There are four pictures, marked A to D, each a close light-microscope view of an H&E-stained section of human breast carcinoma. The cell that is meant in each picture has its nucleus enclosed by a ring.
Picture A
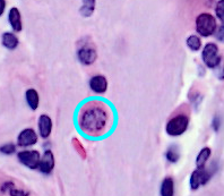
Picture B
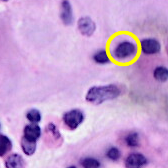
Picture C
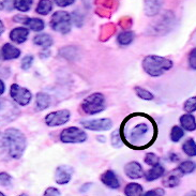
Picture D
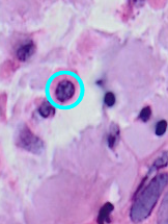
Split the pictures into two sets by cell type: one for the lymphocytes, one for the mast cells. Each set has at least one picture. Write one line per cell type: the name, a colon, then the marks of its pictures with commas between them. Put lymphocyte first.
lymphocyte: B, C
mast cell: A, D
